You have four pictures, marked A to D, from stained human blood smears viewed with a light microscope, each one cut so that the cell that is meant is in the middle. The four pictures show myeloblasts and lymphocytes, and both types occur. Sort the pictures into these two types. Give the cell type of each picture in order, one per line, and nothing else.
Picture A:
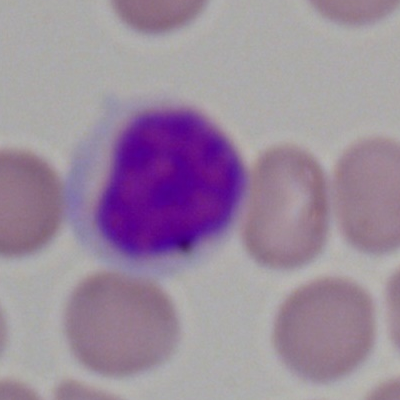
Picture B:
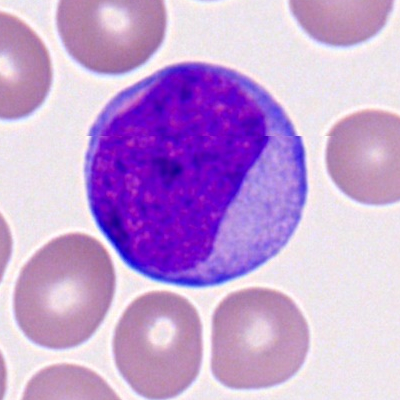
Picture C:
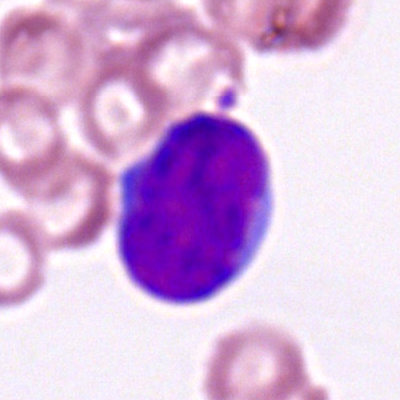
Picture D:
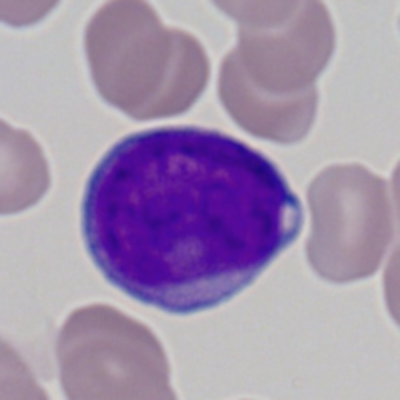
lymphocyte
myeloblast
myeloblast
myeloblast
